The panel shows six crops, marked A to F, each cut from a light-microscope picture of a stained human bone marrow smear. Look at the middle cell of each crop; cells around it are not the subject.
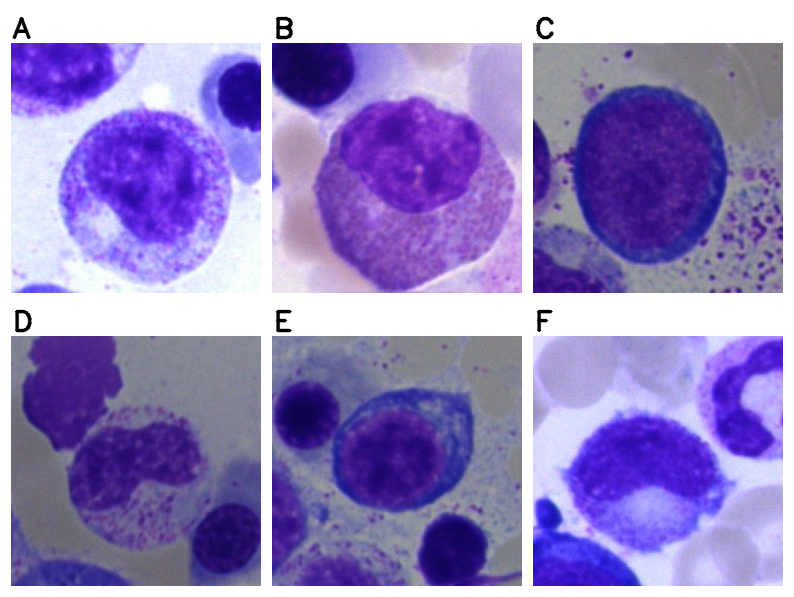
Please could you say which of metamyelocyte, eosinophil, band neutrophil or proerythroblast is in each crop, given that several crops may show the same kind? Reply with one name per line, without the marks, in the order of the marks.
metamyelocyte
eosinophil
proerythroblast
metamyelocyte
proerythroblast
metamyelocyte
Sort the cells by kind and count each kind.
metamyelocyte: 3
proerythroblast: 2
eosinophil: 1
